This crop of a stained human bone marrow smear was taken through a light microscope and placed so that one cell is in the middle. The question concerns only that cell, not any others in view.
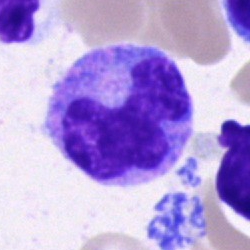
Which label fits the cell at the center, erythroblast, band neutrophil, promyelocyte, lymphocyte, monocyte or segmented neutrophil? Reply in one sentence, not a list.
Standing at the centre of this crop is a monocyte.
